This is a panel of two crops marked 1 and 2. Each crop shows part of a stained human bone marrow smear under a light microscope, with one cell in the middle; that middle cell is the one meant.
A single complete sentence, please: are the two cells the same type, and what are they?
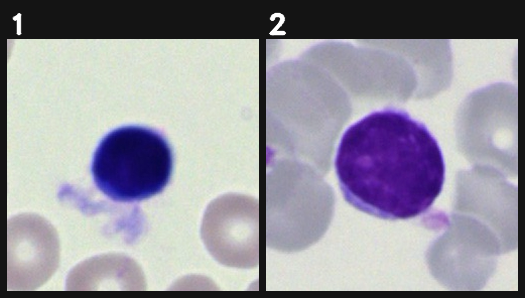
Yes, with regard to both crops, the central cells are lymphocytes.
